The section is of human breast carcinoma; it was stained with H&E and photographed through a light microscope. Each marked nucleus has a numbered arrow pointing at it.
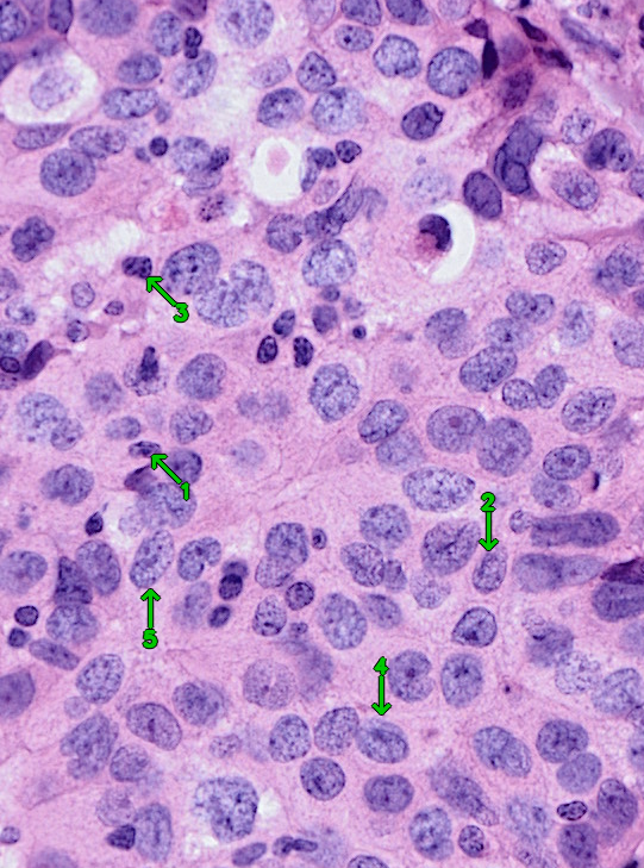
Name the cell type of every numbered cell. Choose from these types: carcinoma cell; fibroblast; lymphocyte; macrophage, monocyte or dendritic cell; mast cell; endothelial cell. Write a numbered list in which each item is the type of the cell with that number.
1. lymphocyte
2. carcinoma cell
3. lymphocyte
4. carcinoma cell
5. carcinoma cell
